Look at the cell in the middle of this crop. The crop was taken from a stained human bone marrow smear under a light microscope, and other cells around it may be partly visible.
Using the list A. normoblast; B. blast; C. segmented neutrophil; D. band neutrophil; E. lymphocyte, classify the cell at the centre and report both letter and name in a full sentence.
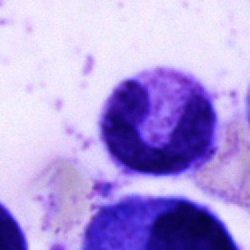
Here the central cell is a band neutrophil, and option D is correct.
